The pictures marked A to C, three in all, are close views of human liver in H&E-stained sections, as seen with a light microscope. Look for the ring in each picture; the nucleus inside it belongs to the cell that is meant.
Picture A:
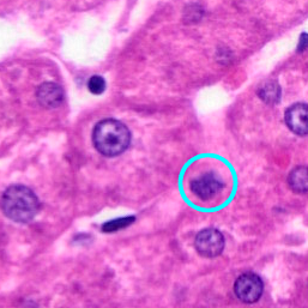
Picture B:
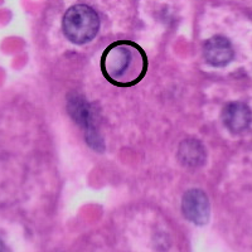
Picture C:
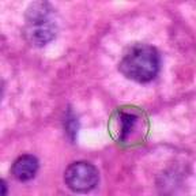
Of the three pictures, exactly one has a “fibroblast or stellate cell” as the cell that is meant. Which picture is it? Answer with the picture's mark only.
C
